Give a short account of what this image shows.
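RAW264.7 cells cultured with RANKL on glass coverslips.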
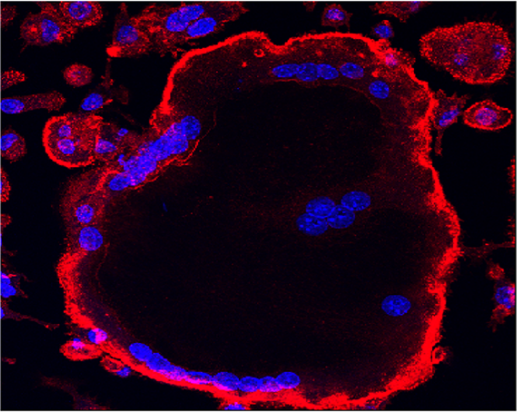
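A single giant cell occupies most of the field, bounded by a broad, bright red band at its periphery with a dark interior. Many oval blue nuclei lie within it, several strung along the inner edge of the red band, a dense group at the left side and a few in the centre. At the upper left, smaller cells with one or a few blue nuclei and red outlines lie close by.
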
